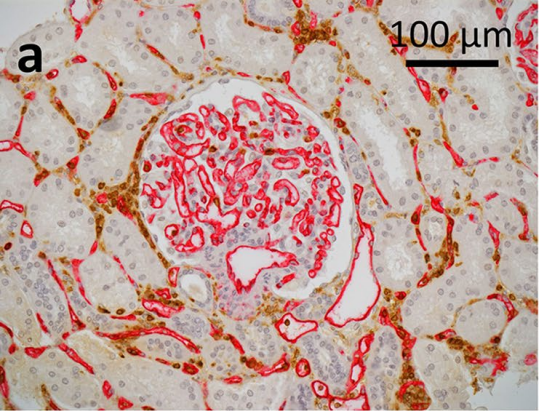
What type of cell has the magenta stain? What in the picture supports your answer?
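Endothelial cells. Magenta outlines the loops inside the round tuft at the centre. Magenta lines thin channels running between the tubules.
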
